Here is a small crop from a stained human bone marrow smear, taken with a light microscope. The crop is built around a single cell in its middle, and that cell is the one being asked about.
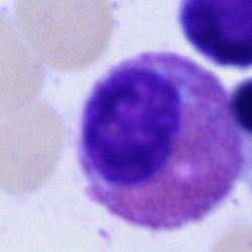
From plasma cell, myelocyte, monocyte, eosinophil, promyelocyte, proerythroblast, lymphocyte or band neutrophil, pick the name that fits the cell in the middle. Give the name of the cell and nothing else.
eosinophil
